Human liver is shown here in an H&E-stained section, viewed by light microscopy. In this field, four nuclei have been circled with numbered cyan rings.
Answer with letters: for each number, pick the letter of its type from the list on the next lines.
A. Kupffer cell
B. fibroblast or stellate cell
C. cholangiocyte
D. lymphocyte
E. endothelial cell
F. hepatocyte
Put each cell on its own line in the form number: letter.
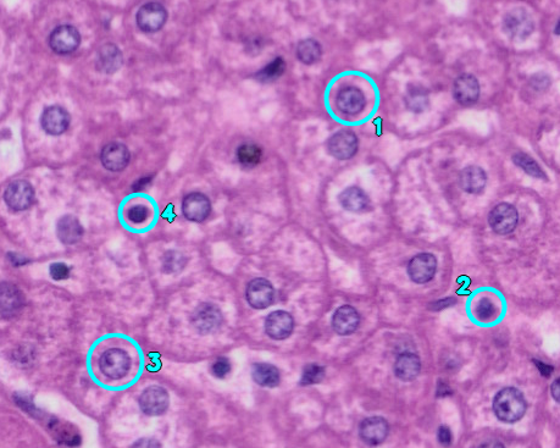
1: F
2: D
3: F
4: D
